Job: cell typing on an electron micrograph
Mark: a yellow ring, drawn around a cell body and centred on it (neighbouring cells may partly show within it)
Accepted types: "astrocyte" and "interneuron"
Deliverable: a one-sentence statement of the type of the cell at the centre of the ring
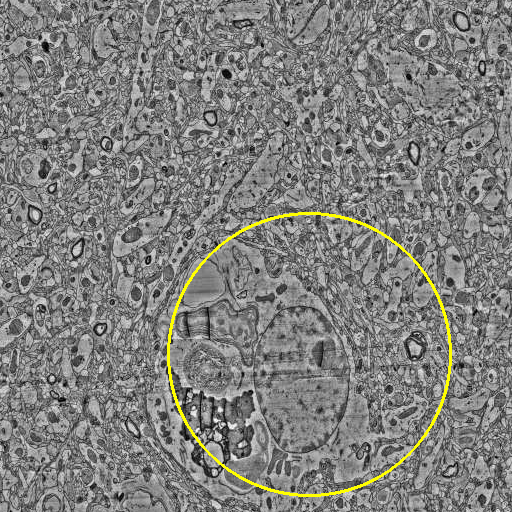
The centred cell body is that of an astrocyte.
